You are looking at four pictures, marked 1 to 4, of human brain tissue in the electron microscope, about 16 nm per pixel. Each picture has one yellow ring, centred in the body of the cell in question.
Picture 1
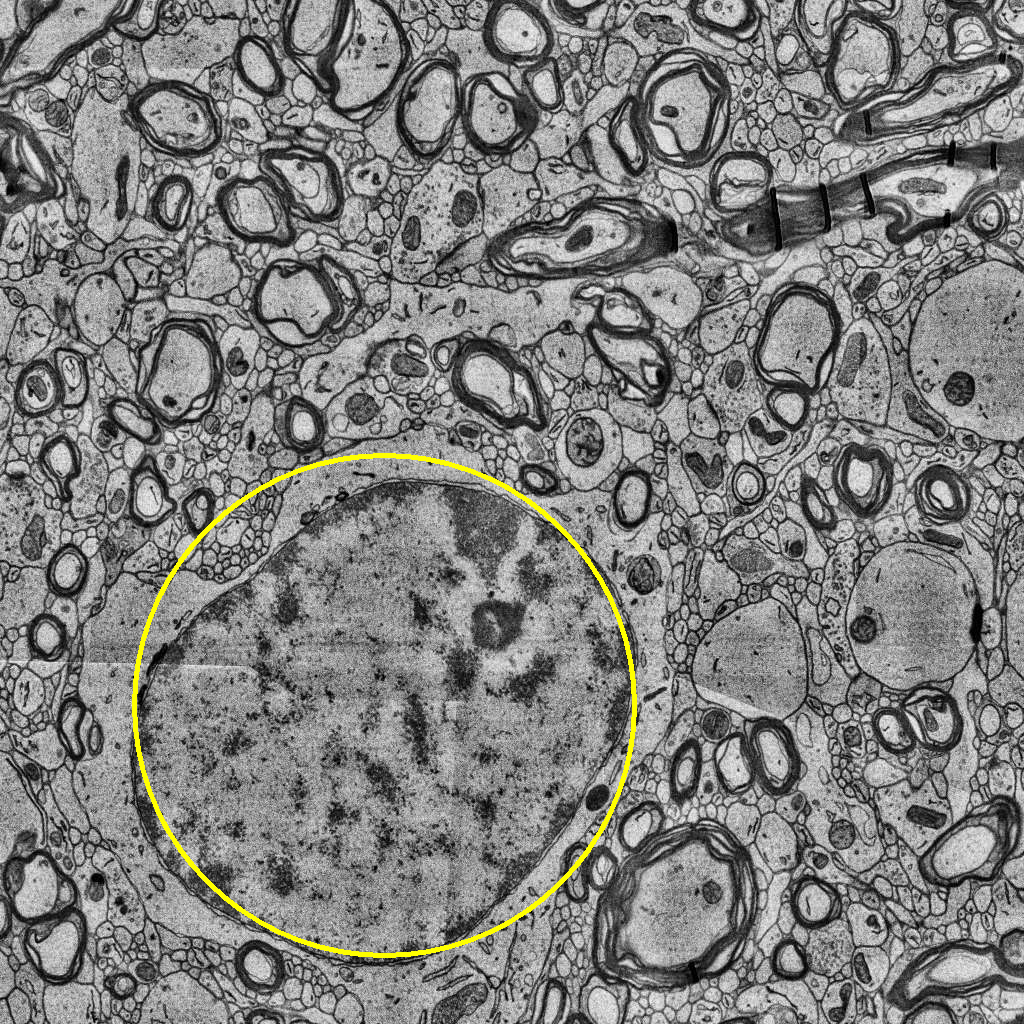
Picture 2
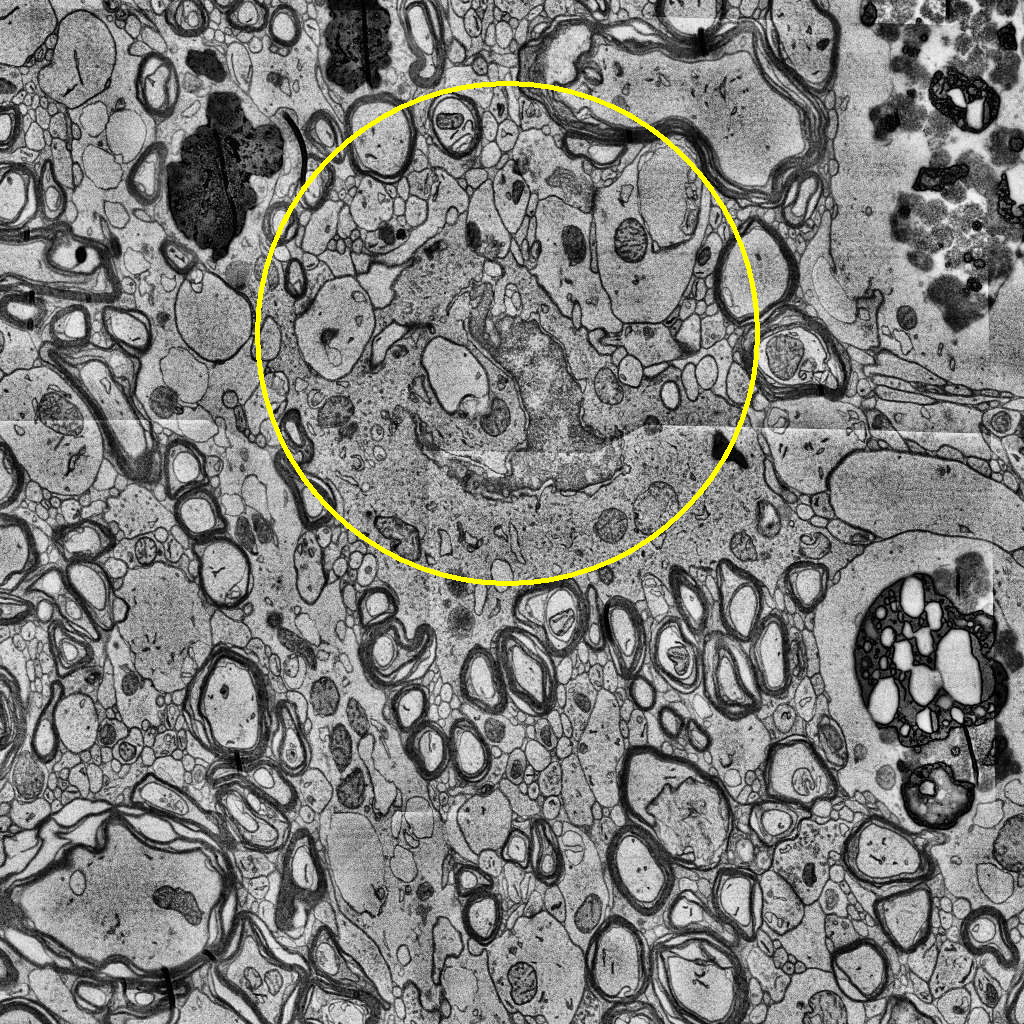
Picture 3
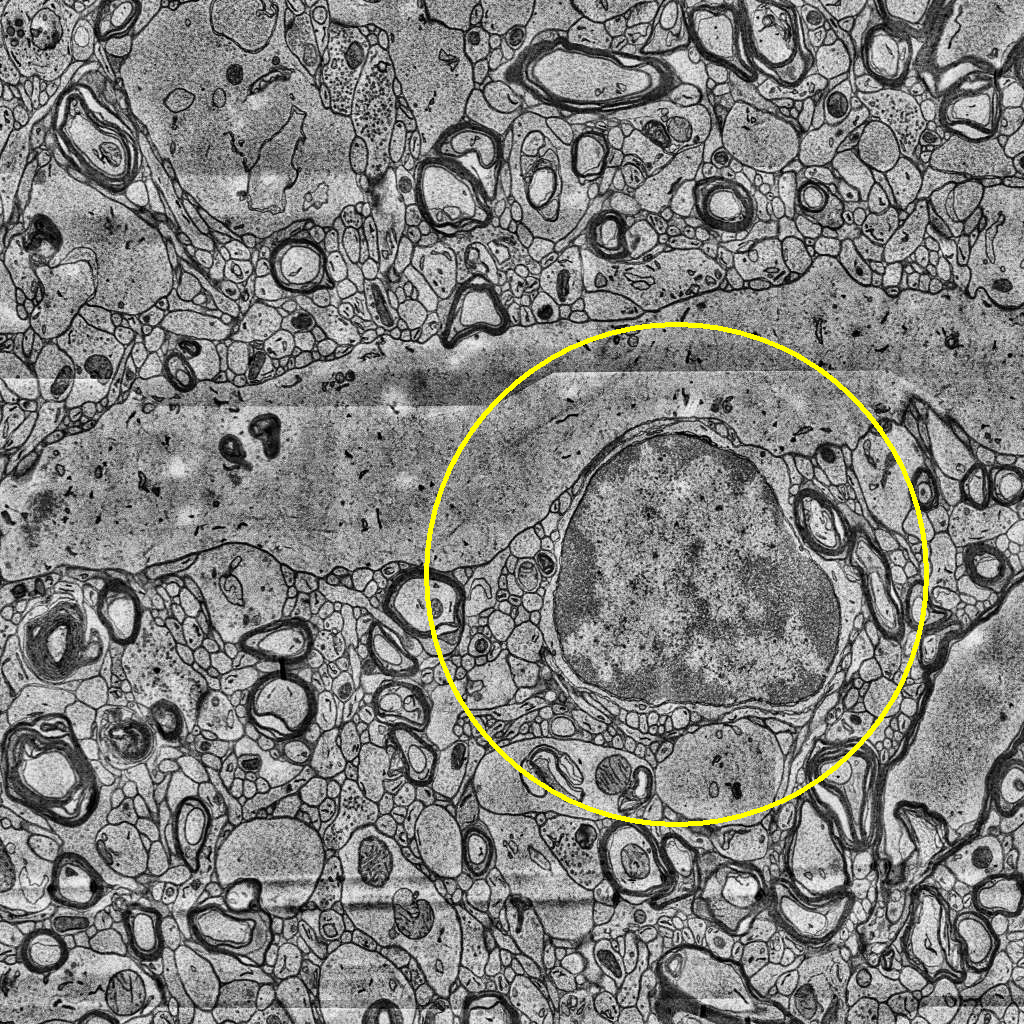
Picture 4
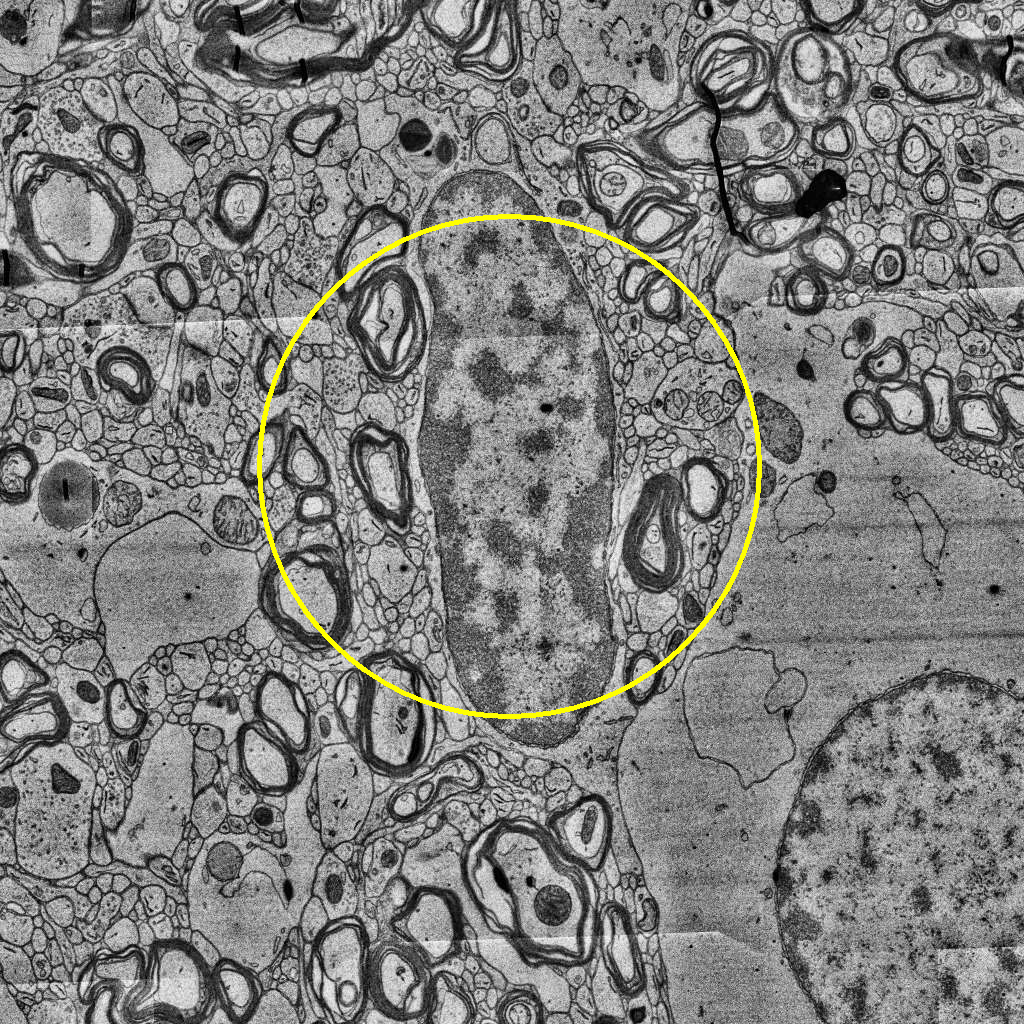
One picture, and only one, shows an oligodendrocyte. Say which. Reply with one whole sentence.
The picture with the oligodendrocyte is 2.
